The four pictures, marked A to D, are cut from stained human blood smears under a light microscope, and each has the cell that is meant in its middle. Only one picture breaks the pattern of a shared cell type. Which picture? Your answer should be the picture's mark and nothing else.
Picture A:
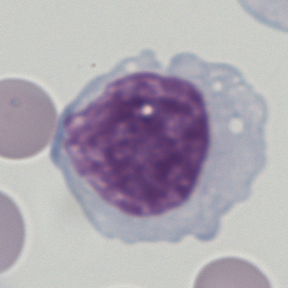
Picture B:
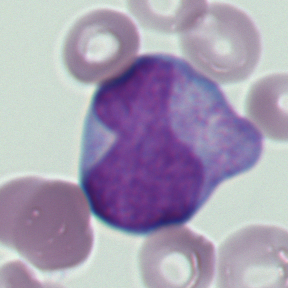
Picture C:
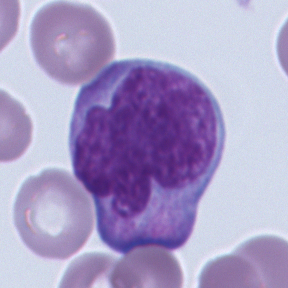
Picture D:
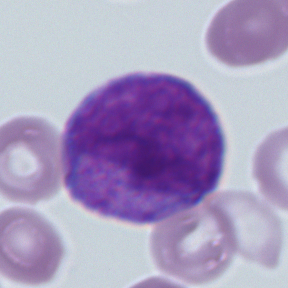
A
